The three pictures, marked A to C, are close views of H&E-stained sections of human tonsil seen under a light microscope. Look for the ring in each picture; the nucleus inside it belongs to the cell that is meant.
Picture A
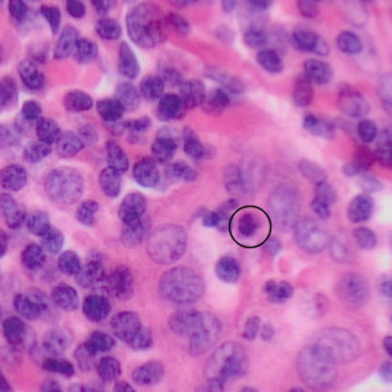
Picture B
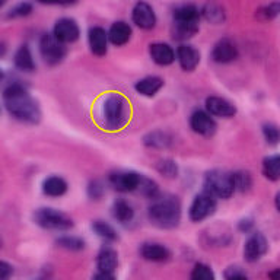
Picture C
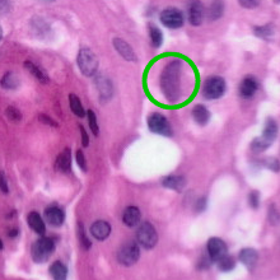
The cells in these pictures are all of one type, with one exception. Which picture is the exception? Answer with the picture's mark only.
C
